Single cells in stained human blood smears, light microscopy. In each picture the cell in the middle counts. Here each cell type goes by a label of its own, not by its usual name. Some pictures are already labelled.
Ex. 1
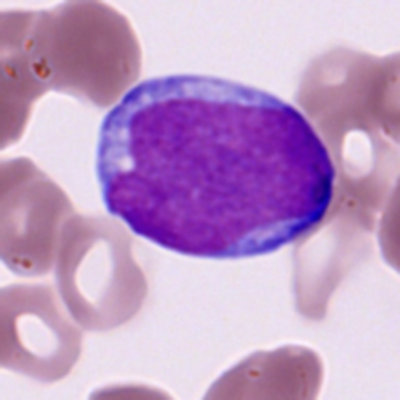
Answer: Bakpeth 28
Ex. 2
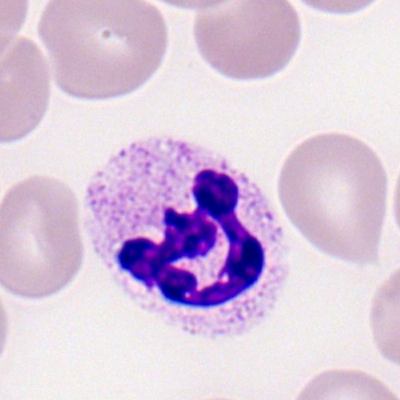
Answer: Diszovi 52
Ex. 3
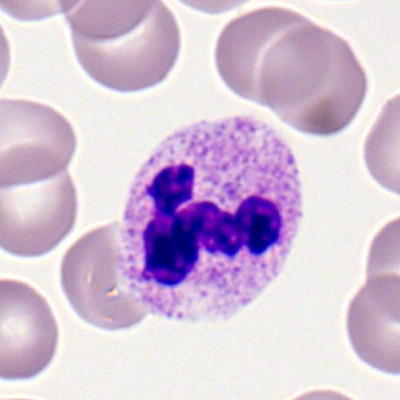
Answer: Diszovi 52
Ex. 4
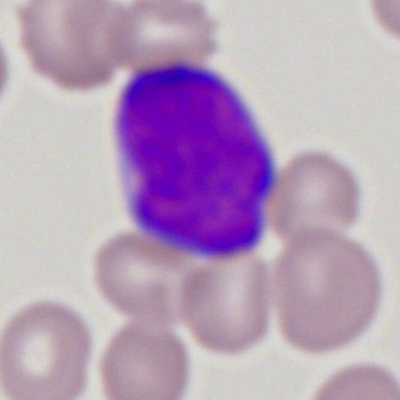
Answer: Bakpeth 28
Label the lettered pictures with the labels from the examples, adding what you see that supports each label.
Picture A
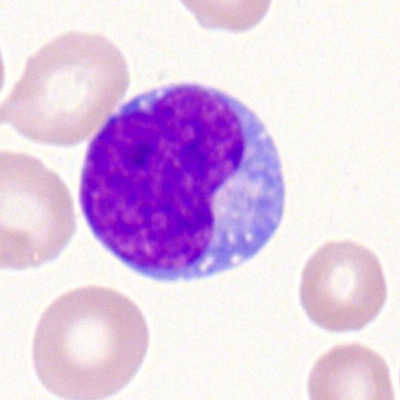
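Answer: Bakpeth 28. The nucleus is indented on its right side, giving it a kidney shape.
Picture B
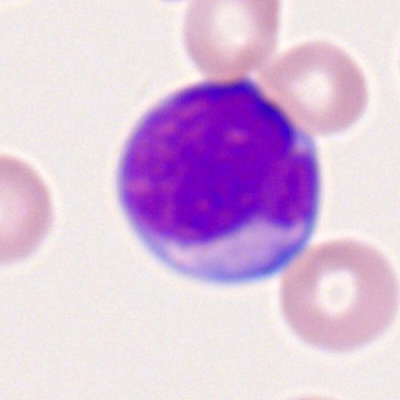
Answer: Bakpeth 28. The nucleus fills most of the cell.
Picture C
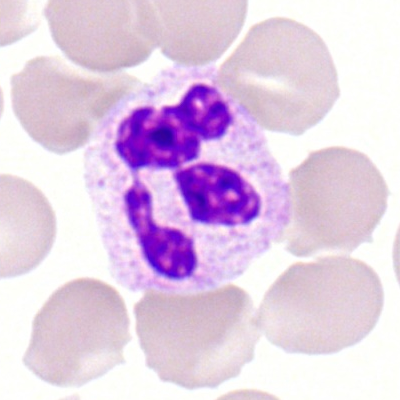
Answer: Diszovi 52. The cytoplasm is plentiful and pale pink-lilac.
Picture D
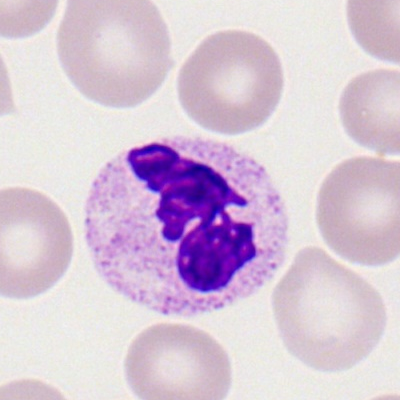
Answer: Diszovi 52. The cytoplasm is plentiful and pale pink.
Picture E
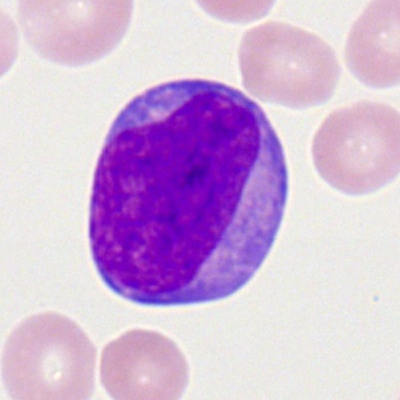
Answer: Bakpeth 28. The nucleus fills most of the cell.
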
